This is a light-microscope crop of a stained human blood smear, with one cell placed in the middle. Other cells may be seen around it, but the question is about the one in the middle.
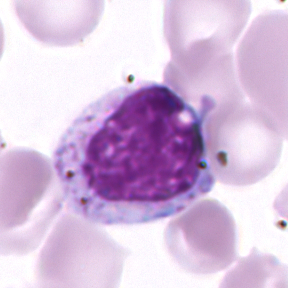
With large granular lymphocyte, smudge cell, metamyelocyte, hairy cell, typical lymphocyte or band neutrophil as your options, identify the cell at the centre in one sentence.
Centrally within this crop lies a metamyelocyte.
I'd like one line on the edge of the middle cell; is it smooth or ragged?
Rather than running smoothly, the cell border is ragged or carries projections.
